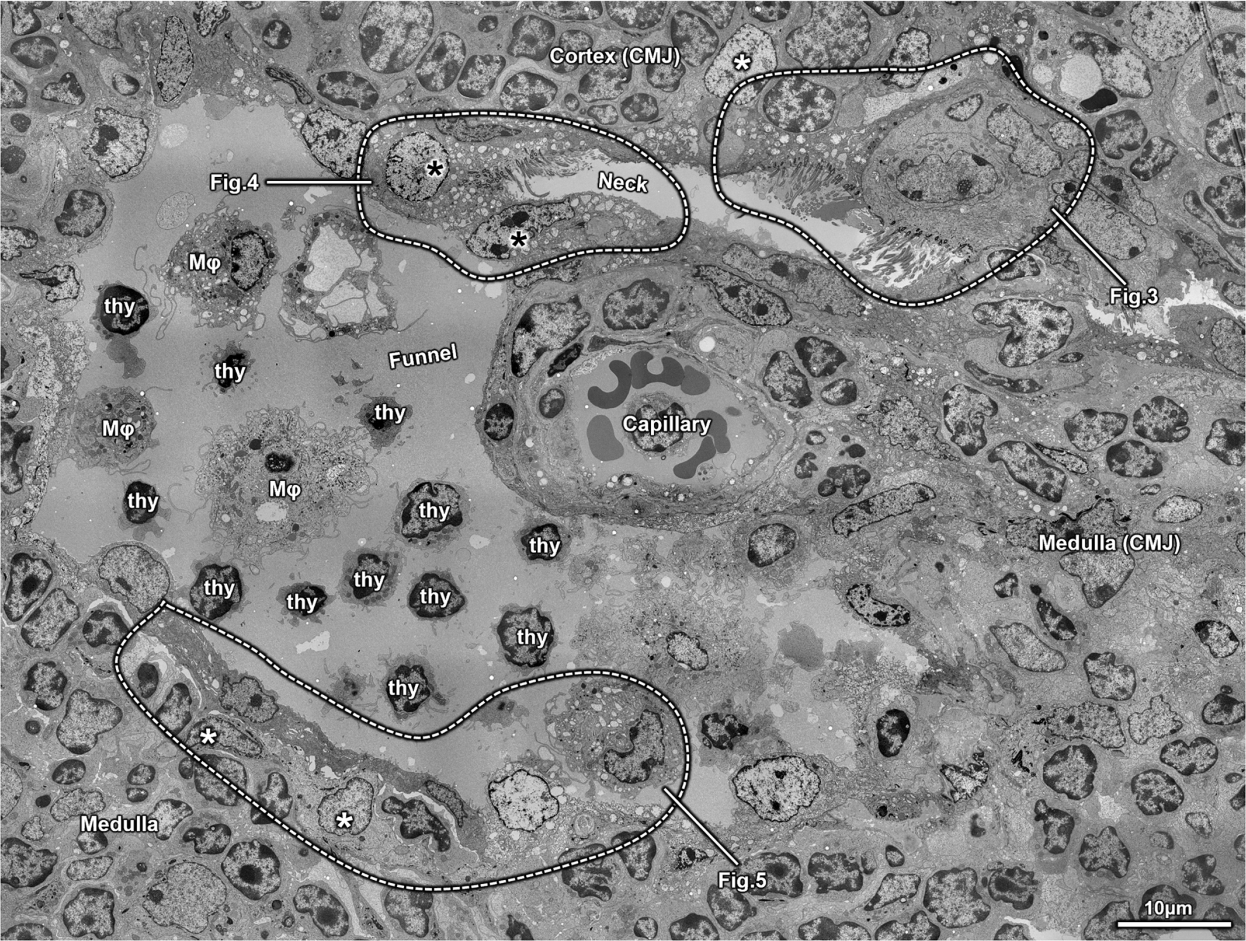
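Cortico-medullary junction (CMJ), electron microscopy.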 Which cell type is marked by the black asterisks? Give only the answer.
Tangentially sectioned lining cells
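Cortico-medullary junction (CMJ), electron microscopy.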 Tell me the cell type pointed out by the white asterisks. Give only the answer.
Thymic epithelial cells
